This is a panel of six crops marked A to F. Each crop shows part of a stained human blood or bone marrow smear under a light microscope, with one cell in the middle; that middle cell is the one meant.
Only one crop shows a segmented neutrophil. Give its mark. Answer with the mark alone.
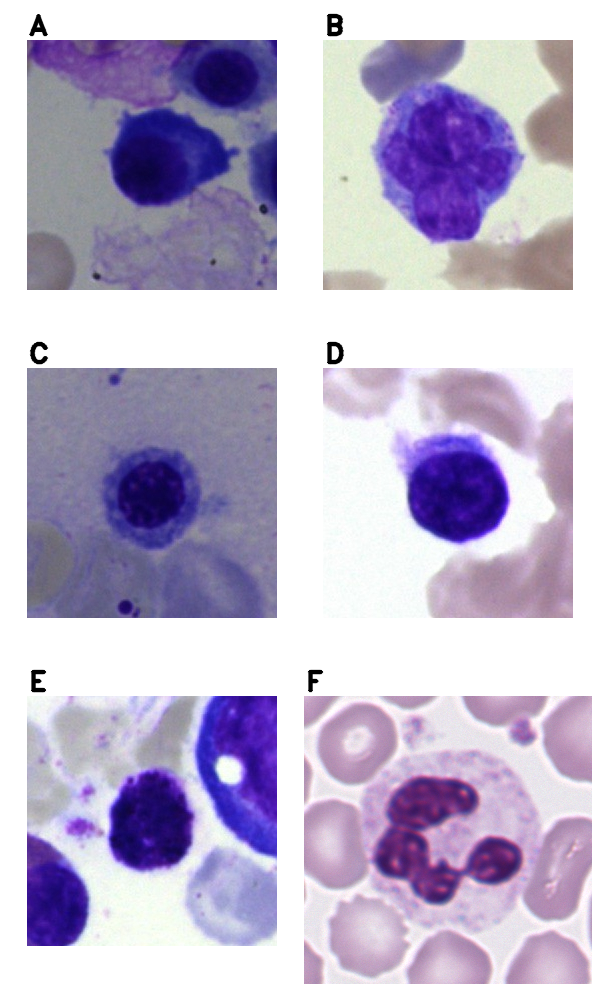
F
